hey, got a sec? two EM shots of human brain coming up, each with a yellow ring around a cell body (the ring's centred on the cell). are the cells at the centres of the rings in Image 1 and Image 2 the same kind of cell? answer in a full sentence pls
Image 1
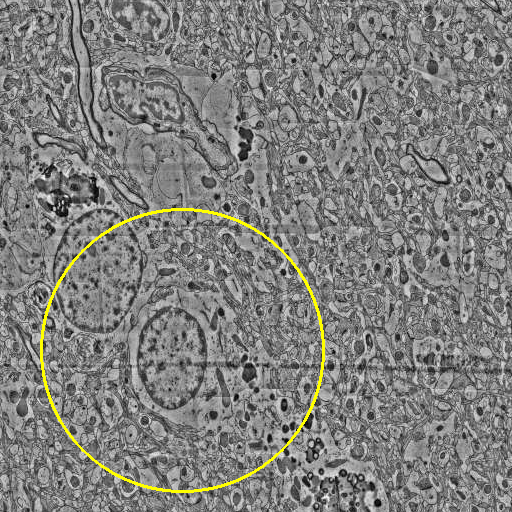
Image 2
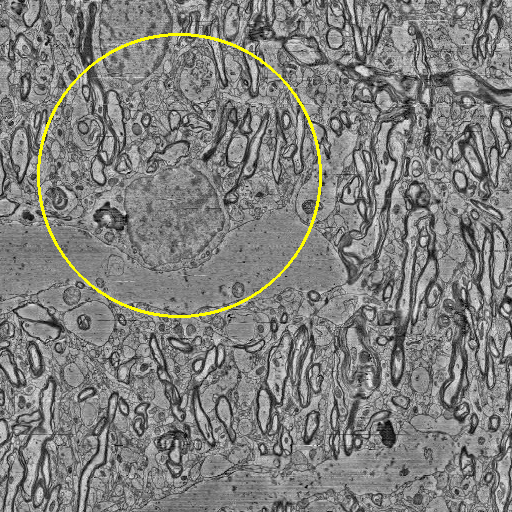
No, they are two kinds of cell.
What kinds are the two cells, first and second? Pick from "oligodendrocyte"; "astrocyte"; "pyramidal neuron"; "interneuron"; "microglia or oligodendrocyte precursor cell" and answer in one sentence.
The second picture holds an oligodendrocyte in its ring, and the first holds an astrocyte.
